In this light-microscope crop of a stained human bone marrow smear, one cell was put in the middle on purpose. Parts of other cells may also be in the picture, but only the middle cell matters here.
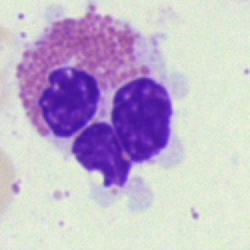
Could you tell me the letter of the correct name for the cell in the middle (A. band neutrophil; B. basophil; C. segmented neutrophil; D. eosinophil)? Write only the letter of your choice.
B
